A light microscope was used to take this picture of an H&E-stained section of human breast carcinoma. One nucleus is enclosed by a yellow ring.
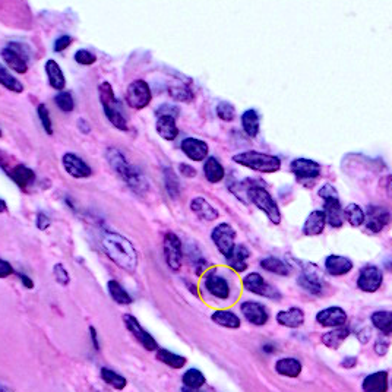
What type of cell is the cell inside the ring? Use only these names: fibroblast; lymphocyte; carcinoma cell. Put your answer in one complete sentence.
The cell type of the cell inside the ring is that of a lymphocyte.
